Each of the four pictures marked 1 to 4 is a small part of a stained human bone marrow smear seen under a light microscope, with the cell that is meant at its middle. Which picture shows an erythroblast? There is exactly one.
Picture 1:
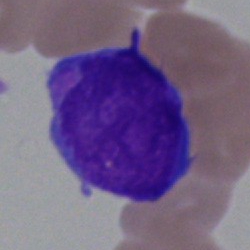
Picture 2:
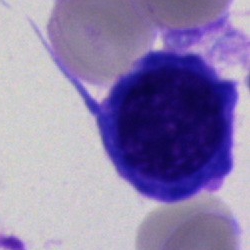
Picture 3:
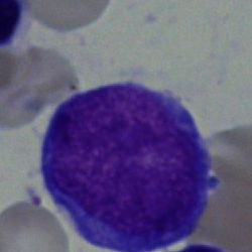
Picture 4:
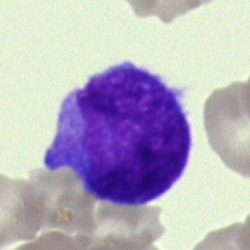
2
